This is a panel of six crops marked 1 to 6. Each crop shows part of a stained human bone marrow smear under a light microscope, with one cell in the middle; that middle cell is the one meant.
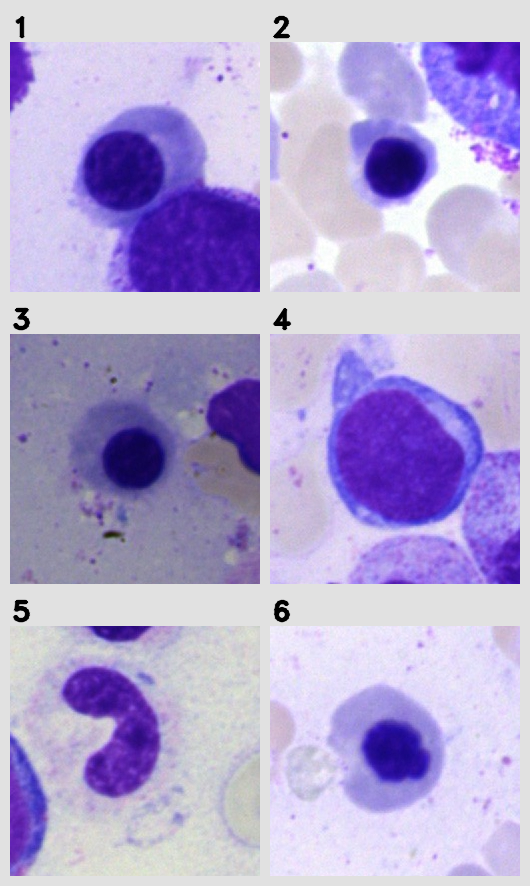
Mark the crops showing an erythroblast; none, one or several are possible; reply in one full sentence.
As for crops 1, 2, 3 and 6, they show erythroblasts.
